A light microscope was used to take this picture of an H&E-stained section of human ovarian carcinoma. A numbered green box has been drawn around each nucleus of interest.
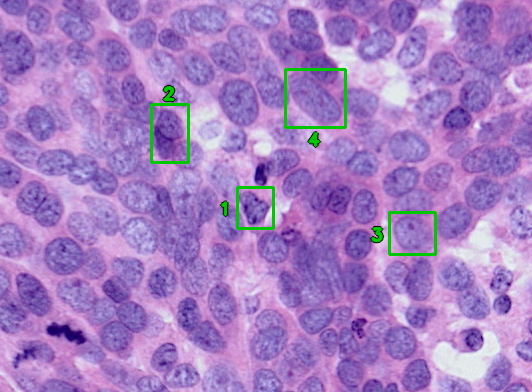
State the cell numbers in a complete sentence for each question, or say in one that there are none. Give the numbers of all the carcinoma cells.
Each of the cells numbered 2, 3 and 4 is among the carcinoma cells.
